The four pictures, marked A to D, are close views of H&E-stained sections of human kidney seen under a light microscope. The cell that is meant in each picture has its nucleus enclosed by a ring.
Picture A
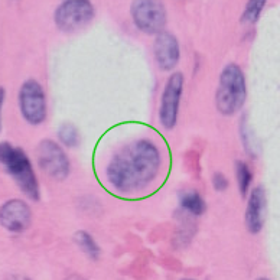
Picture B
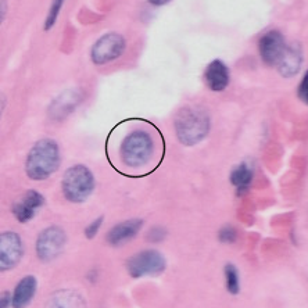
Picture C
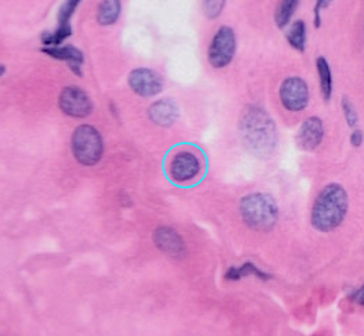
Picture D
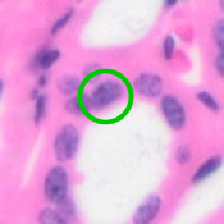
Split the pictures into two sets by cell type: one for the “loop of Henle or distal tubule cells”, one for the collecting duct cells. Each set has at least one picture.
A: collecting duct cell
B: loop of Henle or distal tubule cell
C: loop of Henle or distal tubule cell
D: collecting duct cell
